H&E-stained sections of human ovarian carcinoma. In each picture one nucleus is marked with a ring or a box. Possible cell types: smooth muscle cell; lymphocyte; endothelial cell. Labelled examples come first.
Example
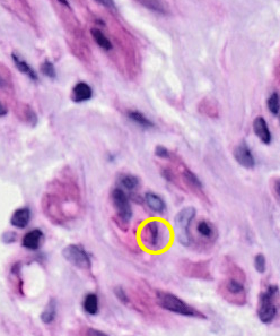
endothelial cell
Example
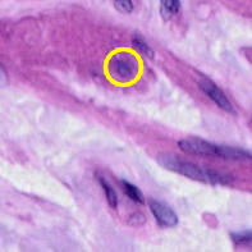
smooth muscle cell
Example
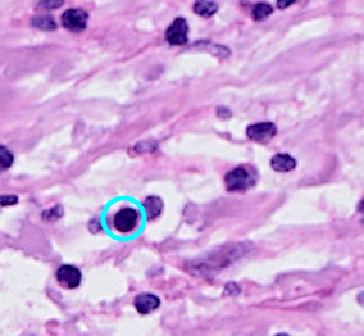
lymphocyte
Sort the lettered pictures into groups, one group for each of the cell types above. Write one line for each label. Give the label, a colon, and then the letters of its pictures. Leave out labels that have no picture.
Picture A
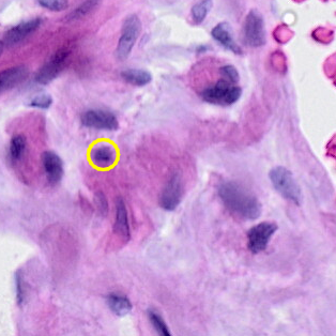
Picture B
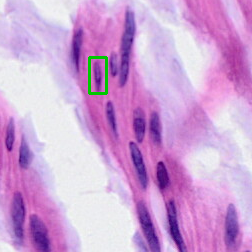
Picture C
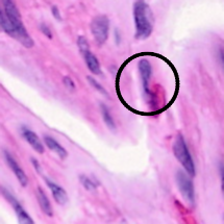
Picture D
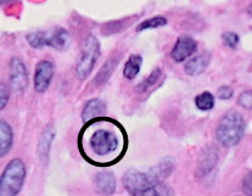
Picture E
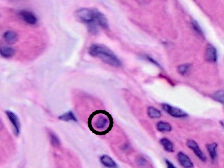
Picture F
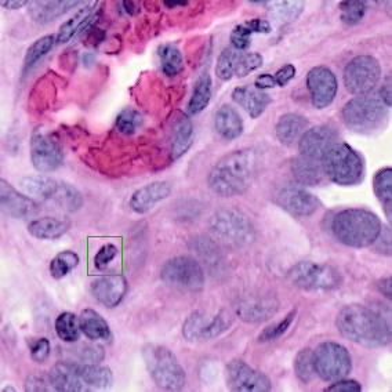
smooth muscle cell: A, B, E
lymphocyte: D, F
endothelial cell: C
